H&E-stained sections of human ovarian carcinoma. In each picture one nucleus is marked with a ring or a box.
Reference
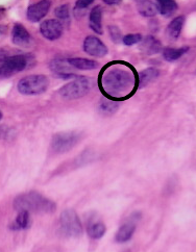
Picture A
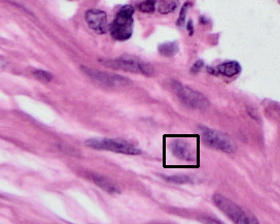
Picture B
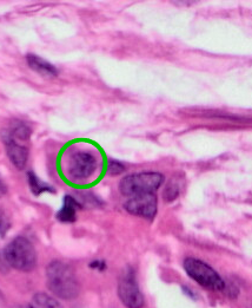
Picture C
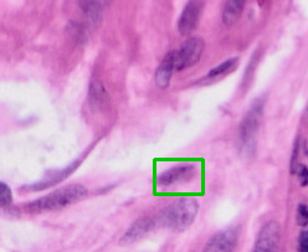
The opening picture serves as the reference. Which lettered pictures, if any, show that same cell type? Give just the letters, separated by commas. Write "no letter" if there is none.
B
